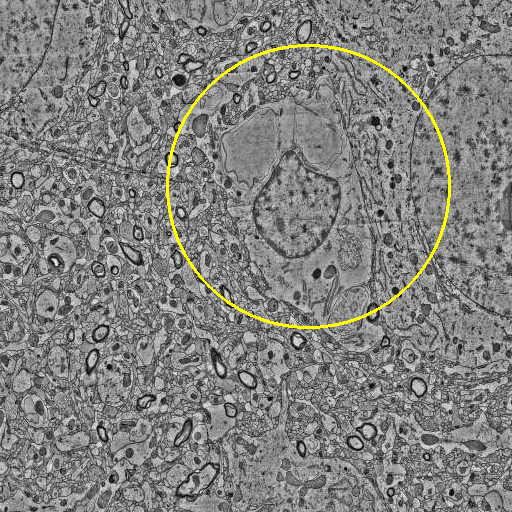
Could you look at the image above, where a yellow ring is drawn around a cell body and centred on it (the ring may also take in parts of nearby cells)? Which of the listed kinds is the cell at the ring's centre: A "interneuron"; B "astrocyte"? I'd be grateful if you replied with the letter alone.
B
